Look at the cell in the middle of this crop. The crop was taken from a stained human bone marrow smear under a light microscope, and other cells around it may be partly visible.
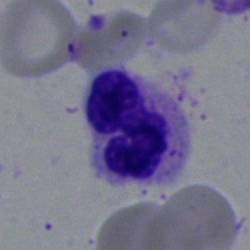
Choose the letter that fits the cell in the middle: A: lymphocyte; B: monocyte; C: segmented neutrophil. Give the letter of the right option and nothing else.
C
